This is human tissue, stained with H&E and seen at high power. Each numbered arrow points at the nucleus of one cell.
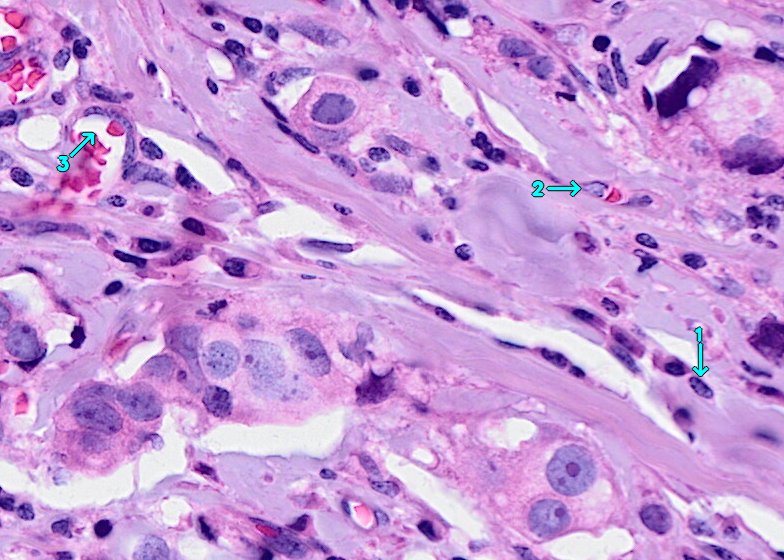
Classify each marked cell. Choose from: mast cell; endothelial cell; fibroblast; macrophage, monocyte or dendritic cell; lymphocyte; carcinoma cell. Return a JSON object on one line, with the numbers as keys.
{"1": "mast cell", "2": "endothelial cell", "3": "endothelial cell"}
